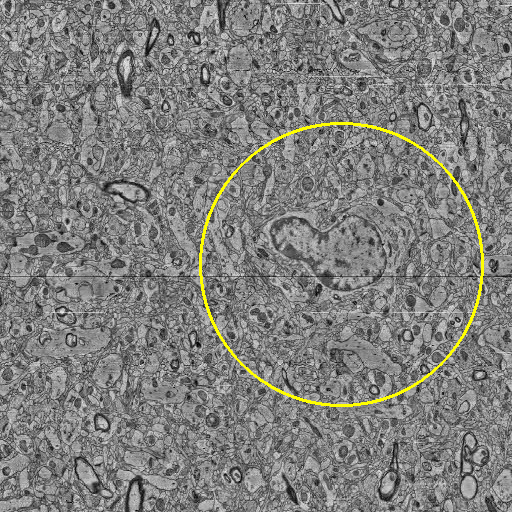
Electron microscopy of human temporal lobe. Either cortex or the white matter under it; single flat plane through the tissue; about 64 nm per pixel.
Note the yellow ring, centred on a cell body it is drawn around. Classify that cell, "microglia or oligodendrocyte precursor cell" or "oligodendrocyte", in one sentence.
The cell the ring is centred on is a microglial cell or oligodendrocyte precursor cell.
